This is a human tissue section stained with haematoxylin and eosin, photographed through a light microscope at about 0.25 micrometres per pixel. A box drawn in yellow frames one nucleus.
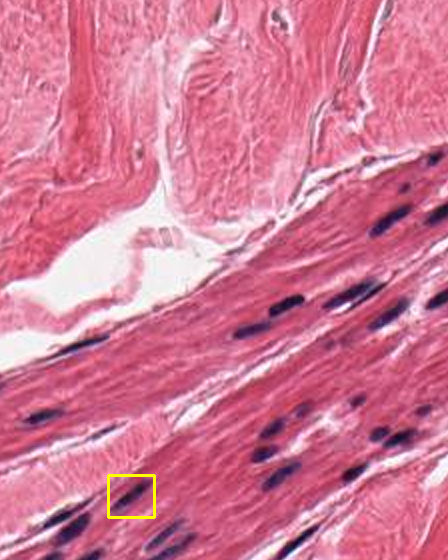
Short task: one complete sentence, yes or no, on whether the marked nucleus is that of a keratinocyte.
No, a keratinocyte does not contain the marked nucleus.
